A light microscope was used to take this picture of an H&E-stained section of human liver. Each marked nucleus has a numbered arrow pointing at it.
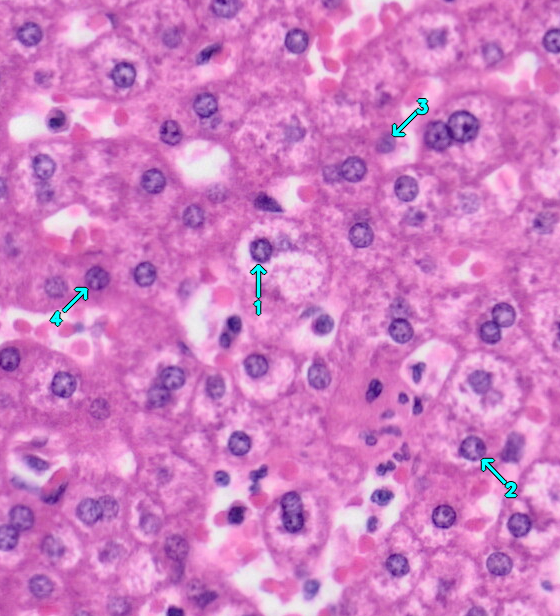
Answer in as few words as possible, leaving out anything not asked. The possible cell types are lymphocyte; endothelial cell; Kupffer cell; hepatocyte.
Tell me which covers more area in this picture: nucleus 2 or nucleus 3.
2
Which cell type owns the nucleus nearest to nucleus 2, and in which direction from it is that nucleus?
an endothelial cell, to the right of nucleus 2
